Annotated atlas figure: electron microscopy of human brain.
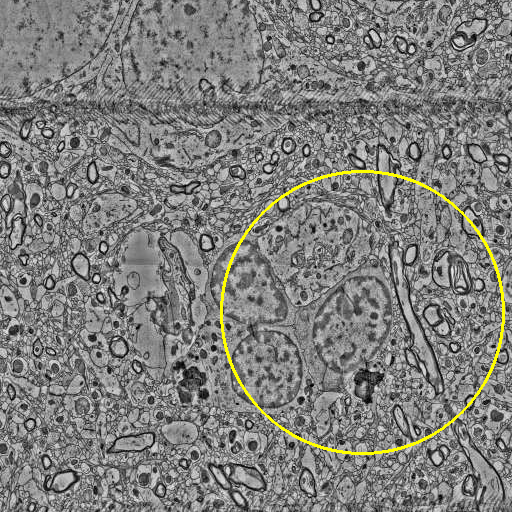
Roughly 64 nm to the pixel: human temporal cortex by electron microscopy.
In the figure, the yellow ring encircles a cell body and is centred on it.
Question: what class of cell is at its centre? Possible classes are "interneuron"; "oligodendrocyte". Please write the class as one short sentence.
The yellow ring is drawn around an oligodendrocyte.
